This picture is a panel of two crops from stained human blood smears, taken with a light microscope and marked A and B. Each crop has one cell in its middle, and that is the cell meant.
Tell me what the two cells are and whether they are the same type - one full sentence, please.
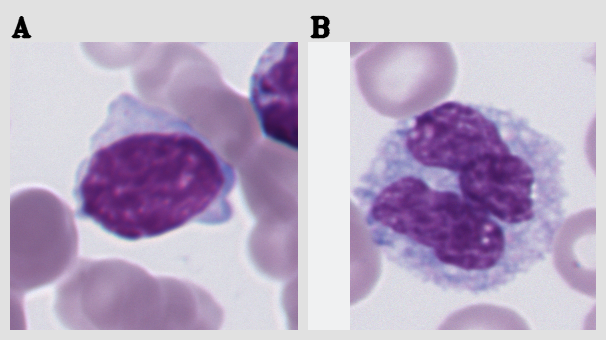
No, shown in crop A is a large granular lymphocyte, and shown in crop B is a monocyte.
